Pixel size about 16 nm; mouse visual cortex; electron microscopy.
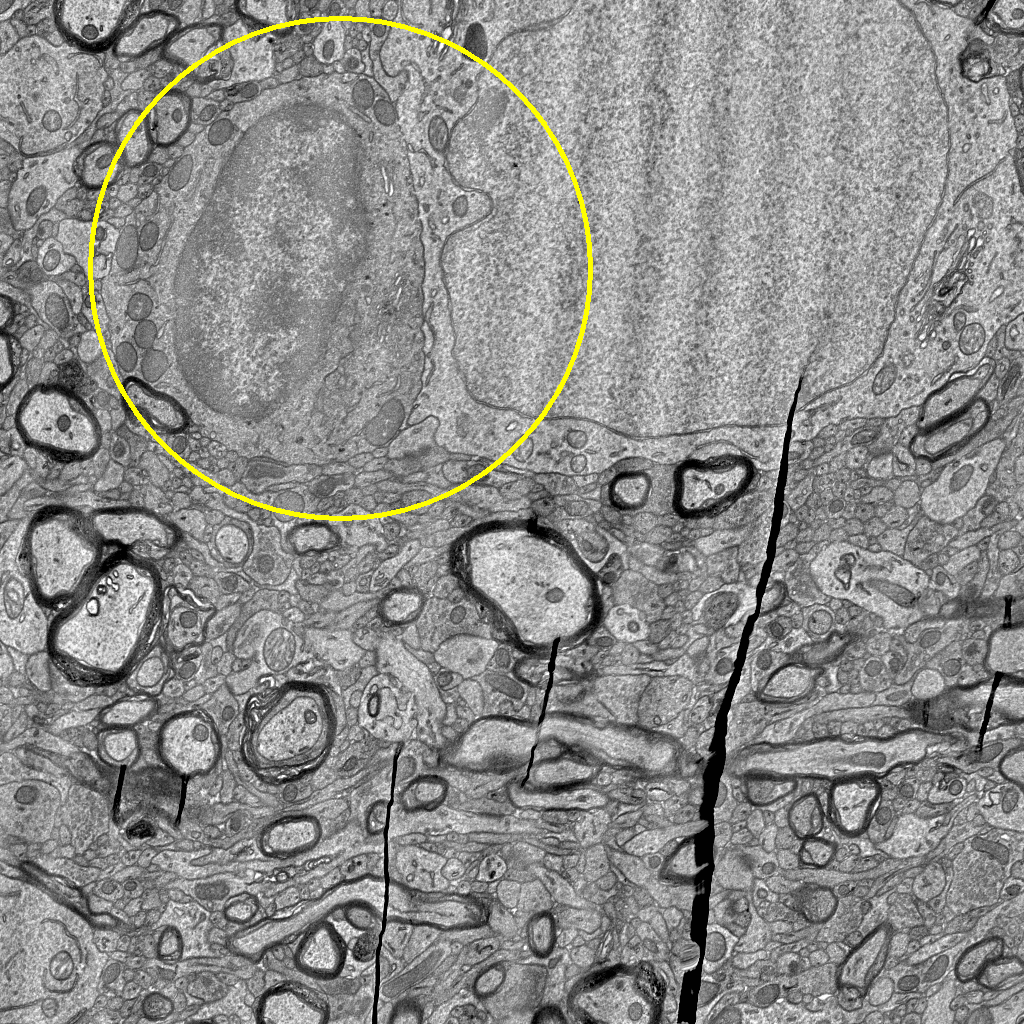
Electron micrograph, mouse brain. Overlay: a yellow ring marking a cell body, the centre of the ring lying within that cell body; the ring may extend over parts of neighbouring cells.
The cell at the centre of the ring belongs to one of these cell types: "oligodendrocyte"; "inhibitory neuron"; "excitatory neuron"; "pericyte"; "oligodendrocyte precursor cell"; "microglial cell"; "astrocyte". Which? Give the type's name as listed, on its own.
oligodendrocyte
